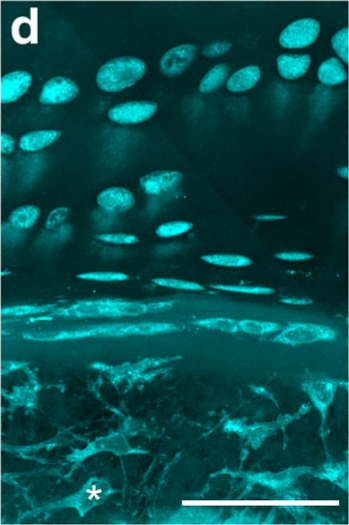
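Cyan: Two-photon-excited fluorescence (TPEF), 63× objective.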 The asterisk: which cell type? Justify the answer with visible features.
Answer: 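Near the asterisk cyan cells extend long thin branching processes. These cells form a network below the flattened layer.
Hence: cells with long processes.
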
